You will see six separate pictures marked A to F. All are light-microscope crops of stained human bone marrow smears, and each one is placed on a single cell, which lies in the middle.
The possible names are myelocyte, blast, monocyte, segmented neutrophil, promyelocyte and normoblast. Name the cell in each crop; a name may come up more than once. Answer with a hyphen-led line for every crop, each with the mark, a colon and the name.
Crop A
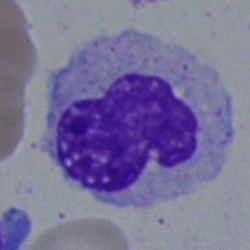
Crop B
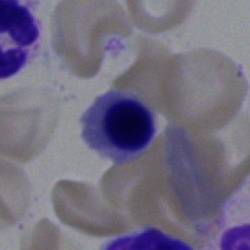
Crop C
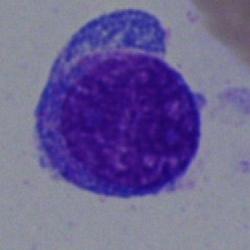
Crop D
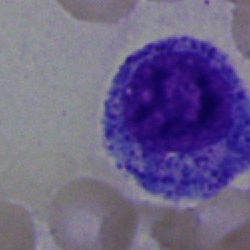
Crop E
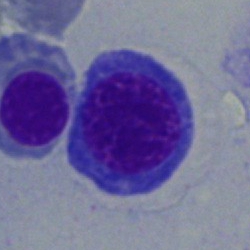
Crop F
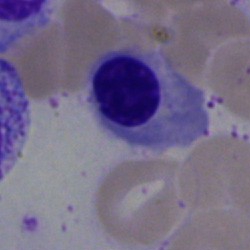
- A: monocyte
- B: normoblast
- C: blast
- D: promyelocyte
- E: normoblast
- F: normoblast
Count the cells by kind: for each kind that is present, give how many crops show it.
normoblast: 3
monocyte: 1
blast: 1
promyelocyte: 1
